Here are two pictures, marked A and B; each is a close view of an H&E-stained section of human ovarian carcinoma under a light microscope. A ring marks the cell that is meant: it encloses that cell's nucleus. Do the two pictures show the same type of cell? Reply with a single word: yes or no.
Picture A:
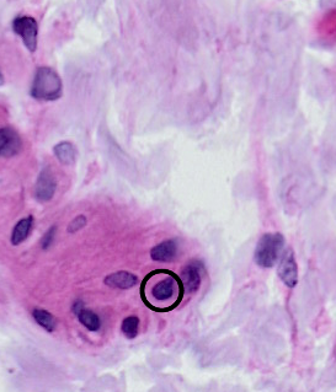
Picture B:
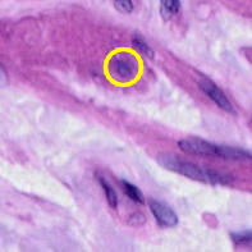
yes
